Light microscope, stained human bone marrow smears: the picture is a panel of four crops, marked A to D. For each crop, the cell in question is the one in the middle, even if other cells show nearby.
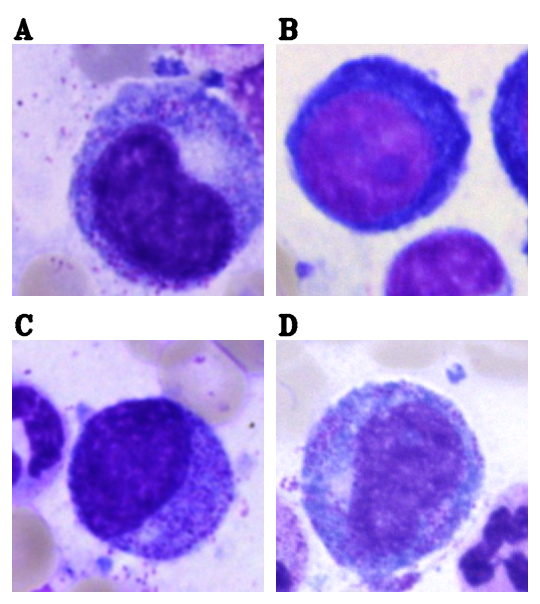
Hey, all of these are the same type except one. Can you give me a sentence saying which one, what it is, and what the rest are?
All crops show promyelocytes except crop B, which is a proerythroblast.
